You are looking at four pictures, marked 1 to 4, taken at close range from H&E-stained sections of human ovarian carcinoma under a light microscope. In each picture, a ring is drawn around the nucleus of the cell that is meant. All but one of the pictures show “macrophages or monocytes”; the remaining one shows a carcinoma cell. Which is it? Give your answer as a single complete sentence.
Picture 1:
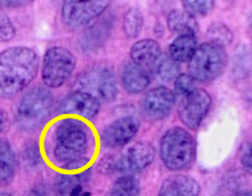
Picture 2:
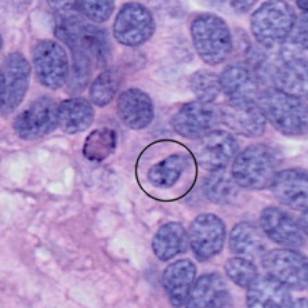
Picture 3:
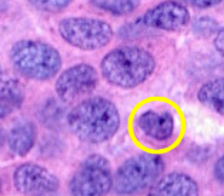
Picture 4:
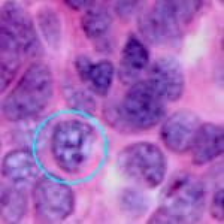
Picture 1 is the one that shows the carcinoma cell.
